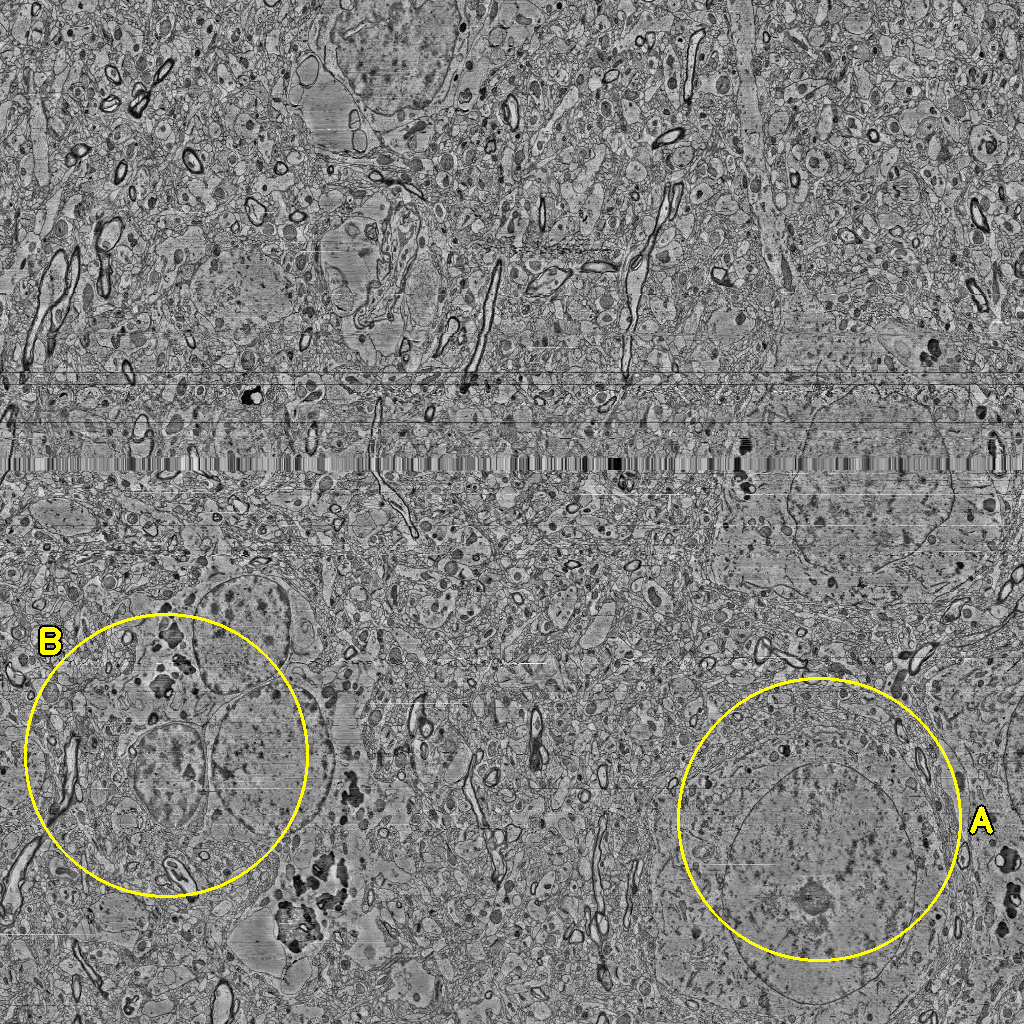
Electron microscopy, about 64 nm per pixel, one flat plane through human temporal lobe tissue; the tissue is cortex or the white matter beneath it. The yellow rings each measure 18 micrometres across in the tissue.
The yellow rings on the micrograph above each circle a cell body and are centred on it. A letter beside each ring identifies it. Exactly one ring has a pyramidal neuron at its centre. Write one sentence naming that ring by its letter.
Ring A is the one.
